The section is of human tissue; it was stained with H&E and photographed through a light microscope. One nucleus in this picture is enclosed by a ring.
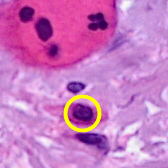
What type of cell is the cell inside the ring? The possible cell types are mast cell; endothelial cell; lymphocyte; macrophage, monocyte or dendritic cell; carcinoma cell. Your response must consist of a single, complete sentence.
As for its identity, the cell inside the ring is a mast cell.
